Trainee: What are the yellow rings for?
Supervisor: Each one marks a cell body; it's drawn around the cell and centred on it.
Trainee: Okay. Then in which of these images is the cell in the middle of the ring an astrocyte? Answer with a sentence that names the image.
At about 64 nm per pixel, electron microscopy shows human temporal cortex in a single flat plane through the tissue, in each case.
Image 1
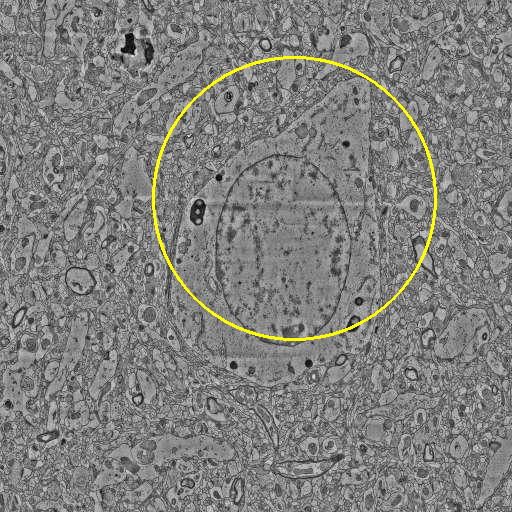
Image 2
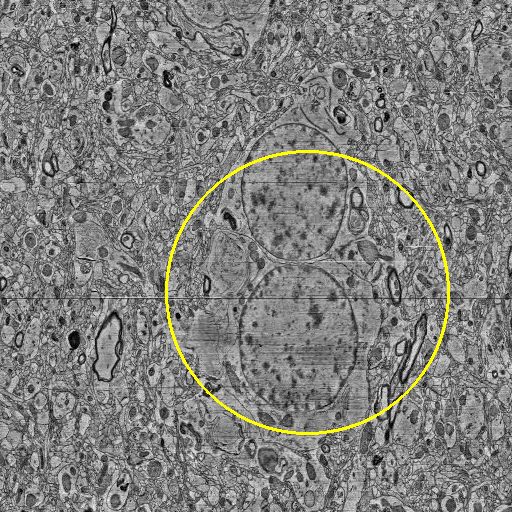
Image 2 has it in the middle of the ring.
